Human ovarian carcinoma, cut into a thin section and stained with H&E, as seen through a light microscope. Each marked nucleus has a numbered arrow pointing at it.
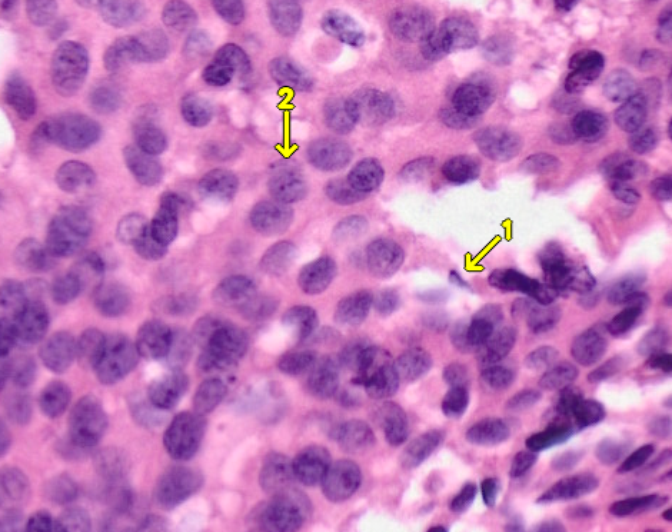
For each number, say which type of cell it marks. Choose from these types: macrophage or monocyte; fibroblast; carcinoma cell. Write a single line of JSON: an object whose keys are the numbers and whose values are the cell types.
{"1": "macrophage or monocyte", "2": "carcinoma cell"}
